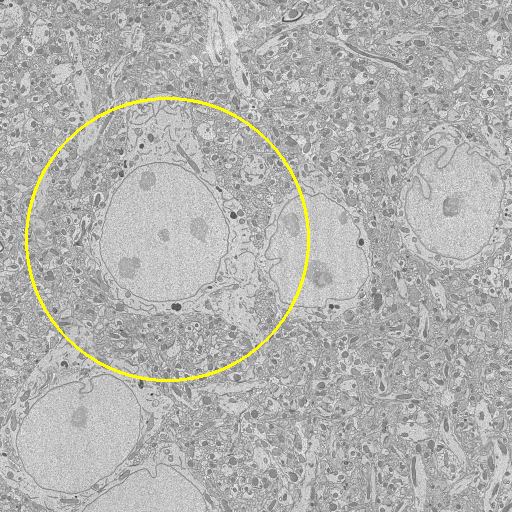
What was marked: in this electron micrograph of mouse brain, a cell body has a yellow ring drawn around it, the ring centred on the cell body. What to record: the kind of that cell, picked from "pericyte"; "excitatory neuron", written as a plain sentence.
The centred cell is an excitatory neuron.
